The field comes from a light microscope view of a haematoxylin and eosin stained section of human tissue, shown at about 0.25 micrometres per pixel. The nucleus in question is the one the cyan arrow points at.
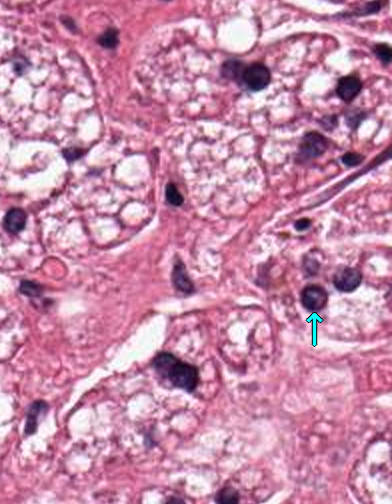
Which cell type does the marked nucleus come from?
adrenal cortical cell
